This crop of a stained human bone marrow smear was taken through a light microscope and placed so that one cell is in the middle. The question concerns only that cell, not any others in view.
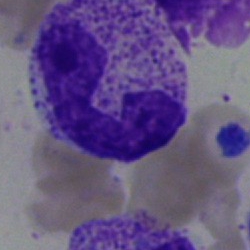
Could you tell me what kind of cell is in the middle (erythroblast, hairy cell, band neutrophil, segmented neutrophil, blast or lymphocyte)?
band neutrophil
